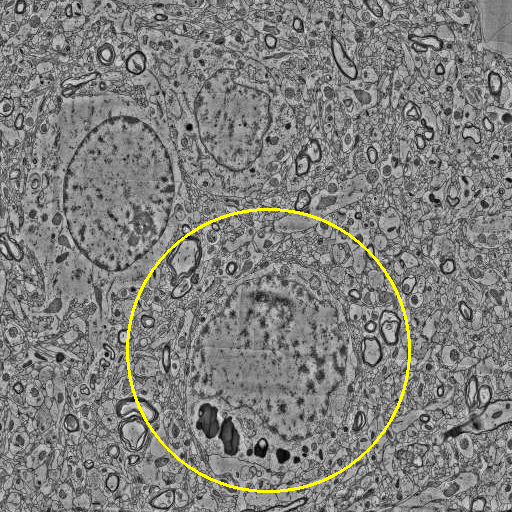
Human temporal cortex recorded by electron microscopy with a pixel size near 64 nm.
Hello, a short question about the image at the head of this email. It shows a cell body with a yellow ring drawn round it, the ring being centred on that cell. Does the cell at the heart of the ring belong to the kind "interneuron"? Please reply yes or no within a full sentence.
Yes, the cell at the heart of the ring in that image is of that kind.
